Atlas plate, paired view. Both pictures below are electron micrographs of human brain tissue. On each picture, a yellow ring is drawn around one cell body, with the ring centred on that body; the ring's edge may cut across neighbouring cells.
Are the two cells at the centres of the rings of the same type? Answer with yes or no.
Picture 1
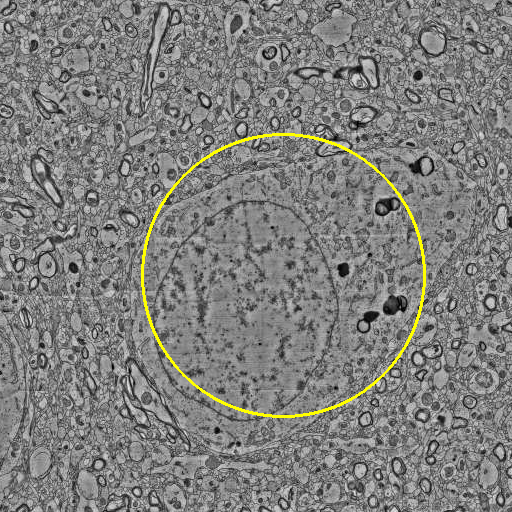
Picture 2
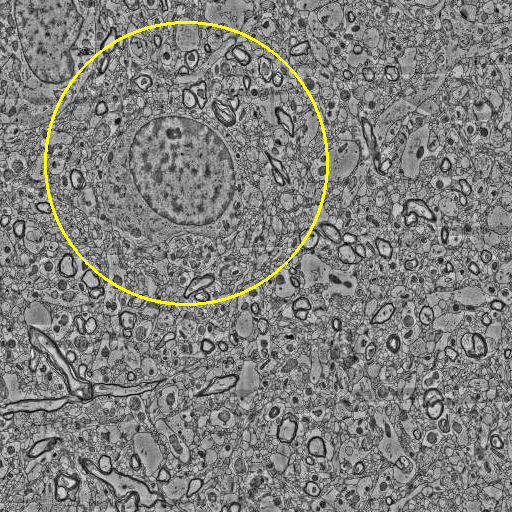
no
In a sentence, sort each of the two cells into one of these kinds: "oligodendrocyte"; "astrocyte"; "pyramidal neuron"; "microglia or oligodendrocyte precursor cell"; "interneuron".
The first of the two cells is a pyramidal neuron, and the second is an oligodendrocyte.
